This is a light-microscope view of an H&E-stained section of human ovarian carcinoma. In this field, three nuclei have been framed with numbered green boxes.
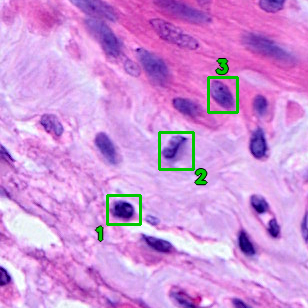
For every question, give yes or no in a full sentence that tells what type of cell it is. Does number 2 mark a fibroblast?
Yes, cell number 2 in this section is a fibroblast.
